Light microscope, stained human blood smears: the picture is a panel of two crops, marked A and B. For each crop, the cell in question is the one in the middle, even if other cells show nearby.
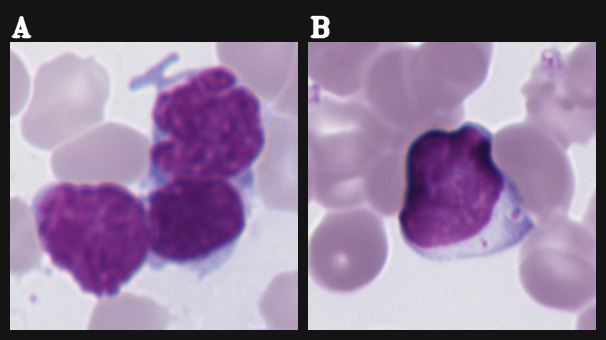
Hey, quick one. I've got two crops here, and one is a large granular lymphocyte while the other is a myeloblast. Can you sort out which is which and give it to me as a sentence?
Crop A is labelled a myeloblast, and crop B is labelled a large granular lymphocyte.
